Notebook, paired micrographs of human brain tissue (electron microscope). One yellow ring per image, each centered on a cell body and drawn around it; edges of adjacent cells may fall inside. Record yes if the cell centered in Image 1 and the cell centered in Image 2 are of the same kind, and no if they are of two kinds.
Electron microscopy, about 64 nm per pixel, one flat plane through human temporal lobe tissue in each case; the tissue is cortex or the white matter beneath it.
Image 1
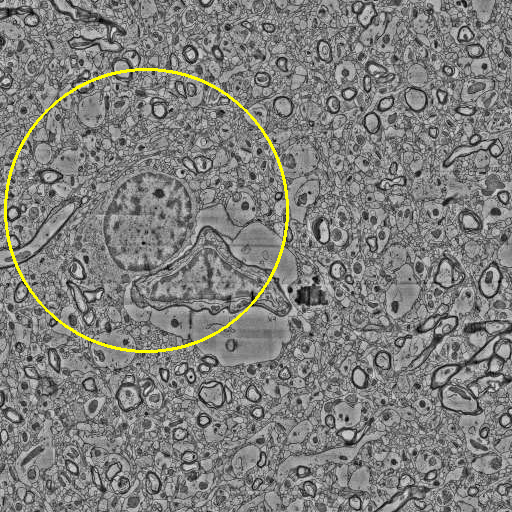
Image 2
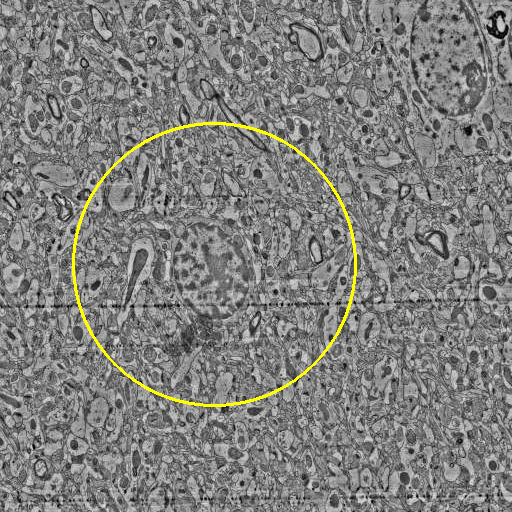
yes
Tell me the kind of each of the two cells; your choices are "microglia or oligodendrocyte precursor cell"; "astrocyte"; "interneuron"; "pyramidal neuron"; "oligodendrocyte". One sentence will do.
The first and the second cell are each an oligodendrocyte.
